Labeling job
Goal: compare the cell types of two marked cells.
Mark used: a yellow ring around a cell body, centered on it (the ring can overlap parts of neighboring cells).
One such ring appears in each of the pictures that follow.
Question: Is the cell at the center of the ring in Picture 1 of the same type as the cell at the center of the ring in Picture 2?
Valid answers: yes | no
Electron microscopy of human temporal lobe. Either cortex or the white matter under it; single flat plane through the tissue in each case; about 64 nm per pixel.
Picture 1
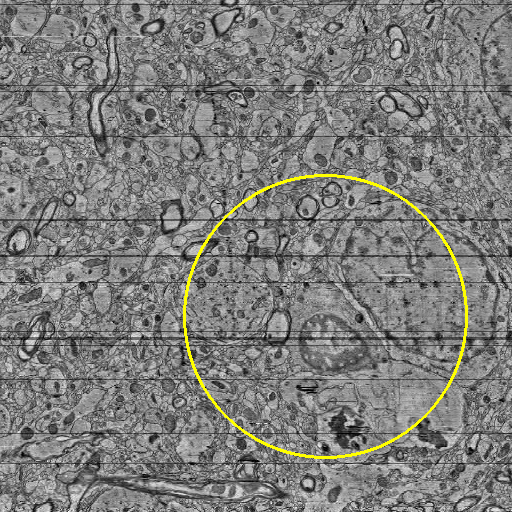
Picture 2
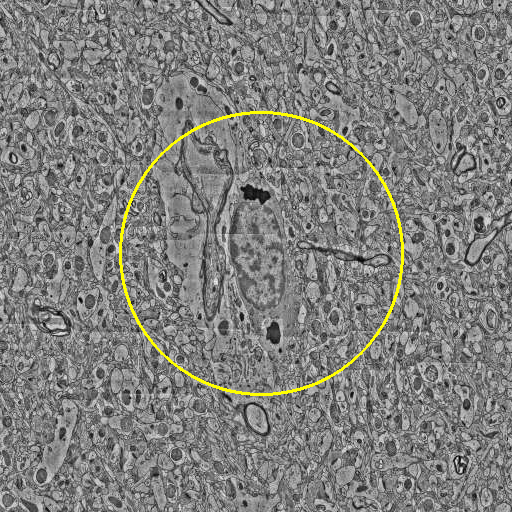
yes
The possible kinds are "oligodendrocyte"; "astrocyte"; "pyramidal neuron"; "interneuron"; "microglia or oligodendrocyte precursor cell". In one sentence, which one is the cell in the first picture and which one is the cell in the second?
Each one of the two ringed cells is an oligodendrocyte.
